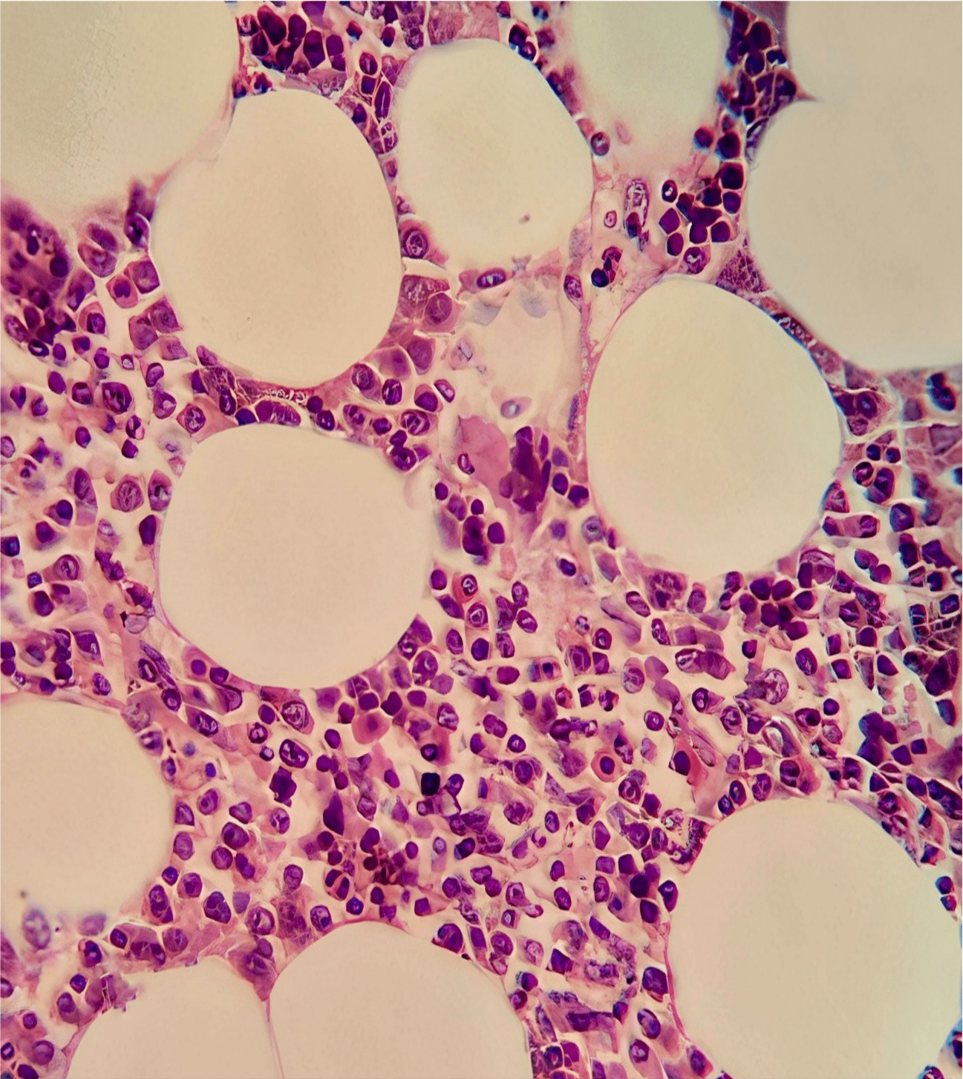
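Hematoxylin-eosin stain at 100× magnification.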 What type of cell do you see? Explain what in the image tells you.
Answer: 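Many large, round, empty-looking pale spaces are scattered through the tissue. These pale spaces are bounded by thin pink rims with no stained contents. On this evidence: adipocytes.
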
